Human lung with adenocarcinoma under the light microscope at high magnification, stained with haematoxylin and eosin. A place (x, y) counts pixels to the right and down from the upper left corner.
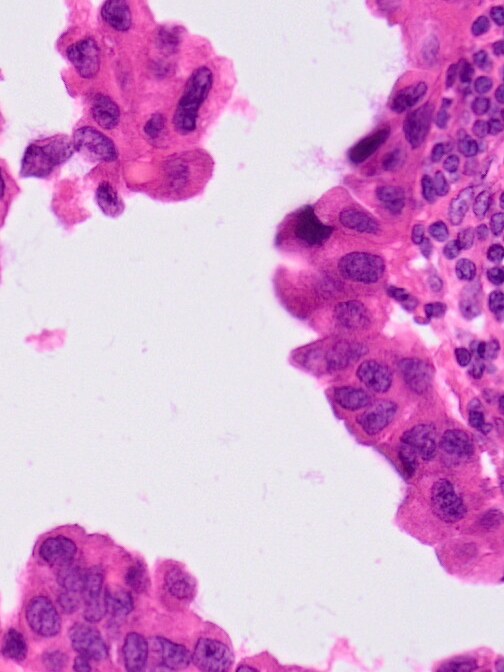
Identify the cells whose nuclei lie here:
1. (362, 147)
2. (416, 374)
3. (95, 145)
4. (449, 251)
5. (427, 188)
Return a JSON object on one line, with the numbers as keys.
{"1": "carcinoma cell", "2": "carcinoma cell", "3": "carcinoma cell", "4": "lymphocyte", "5": "lymphocyte"}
